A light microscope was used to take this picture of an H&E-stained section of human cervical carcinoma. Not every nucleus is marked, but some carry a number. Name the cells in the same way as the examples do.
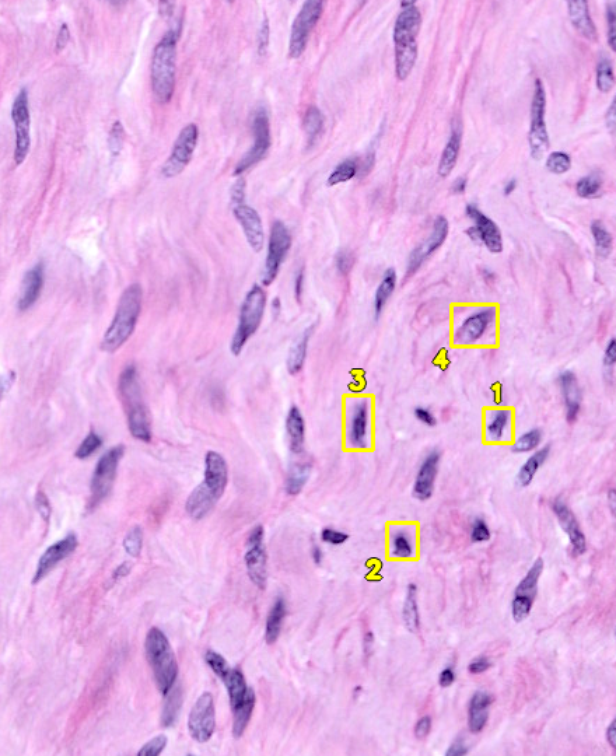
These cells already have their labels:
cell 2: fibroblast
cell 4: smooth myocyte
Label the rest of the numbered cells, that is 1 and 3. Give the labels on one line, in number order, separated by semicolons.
fibroblast; fibroblast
